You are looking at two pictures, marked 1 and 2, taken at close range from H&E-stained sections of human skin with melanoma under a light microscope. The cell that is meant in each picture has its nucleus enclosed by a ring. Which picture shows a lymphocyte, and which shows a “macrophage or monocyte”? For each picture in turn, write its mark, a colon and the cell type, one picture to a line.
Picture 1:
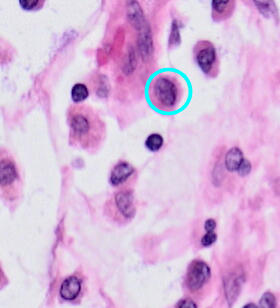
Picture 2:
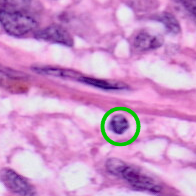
1: macrophage or monocyte
2: lymphocyte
